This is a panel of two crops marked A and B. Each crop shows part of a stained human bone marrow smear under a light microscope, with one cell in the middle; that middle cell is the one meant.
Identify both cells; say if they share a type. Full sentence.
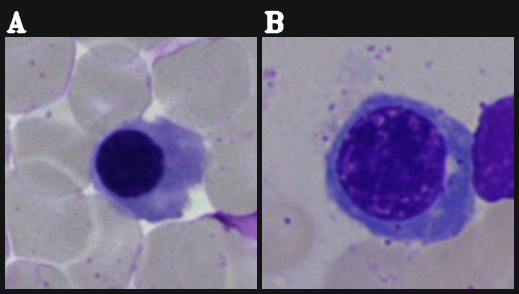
Yes, erythroblasts lie at the centre of both crops.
